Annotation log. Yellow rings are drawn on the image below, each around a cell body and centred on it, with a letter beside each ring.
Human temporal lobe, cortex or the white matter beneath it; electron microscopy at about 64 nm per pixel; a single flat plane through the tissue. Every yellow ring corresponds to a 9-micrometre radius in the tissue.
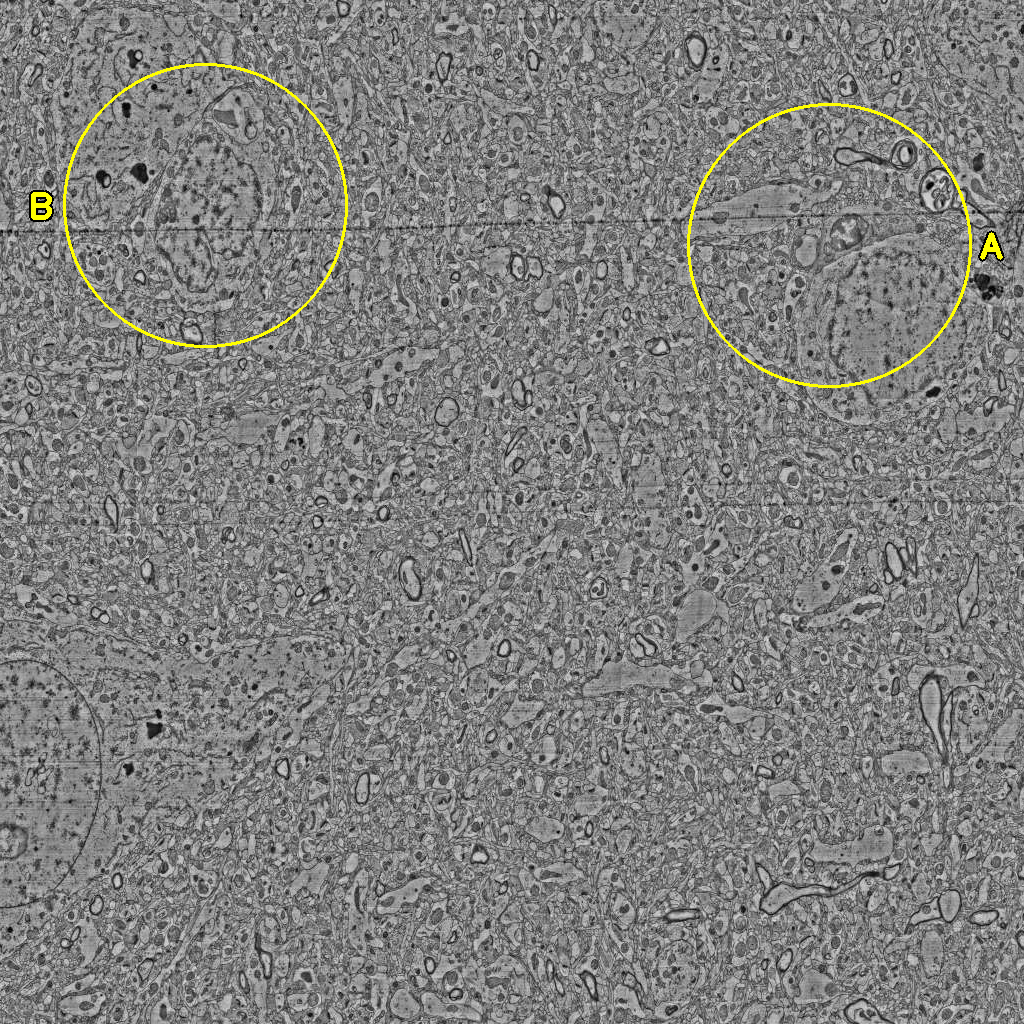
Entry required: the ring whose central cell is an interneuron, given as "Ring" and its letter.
Ring B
